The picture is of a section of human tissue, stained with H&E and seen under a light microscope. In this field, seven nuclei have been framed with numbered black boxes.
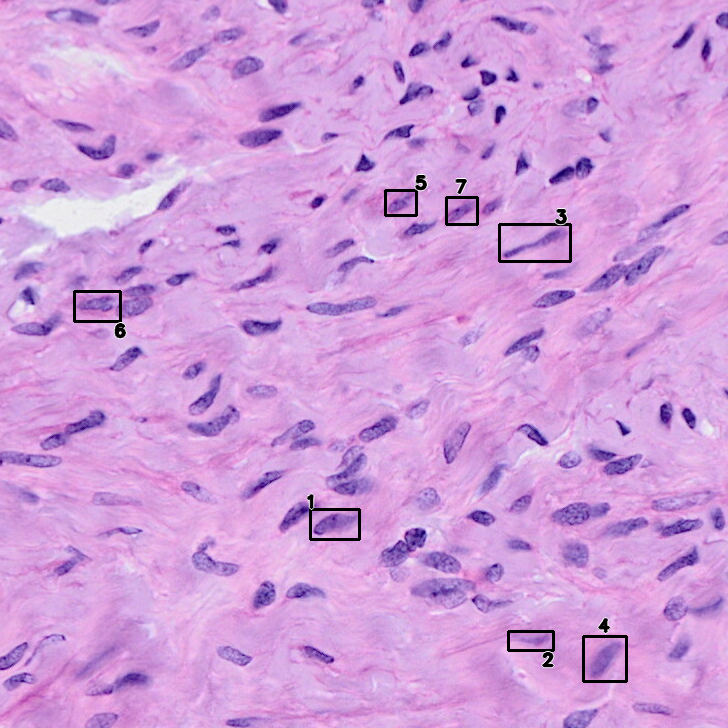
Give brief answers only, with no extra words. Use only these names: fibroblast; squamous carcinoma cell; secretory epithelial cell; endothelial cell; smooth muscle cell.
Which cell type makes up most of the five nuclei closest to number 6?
fibroblast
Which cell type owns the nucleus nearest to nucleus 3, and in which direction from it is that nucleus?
a fibroblast; below and to the right of nucleus 3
